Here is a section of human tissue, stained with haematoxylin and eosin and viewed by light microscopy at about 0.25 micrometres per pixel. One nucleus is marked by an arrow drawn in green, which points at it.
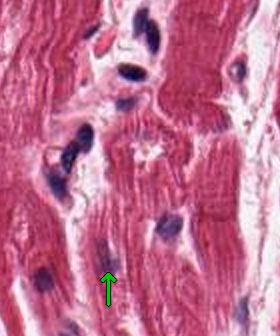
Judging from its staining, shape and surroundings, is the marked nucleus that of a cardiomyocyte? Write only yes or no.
yes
